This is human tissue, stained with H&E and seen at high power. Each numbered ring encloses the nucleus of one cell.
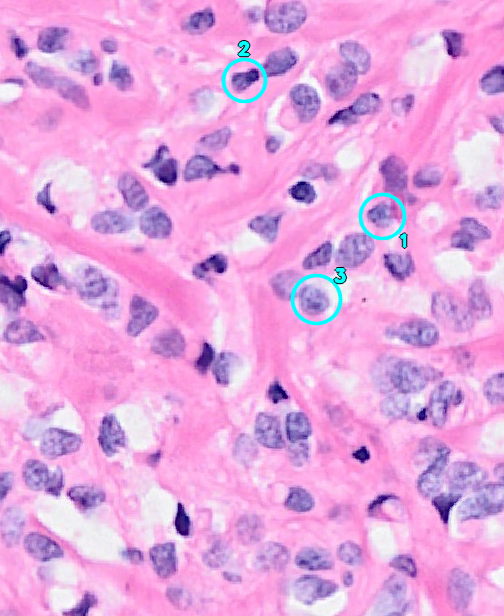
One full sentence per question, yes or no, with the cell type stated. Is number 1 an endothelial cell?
Yes, the cell tagged with number 1 is an endothelial cell.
